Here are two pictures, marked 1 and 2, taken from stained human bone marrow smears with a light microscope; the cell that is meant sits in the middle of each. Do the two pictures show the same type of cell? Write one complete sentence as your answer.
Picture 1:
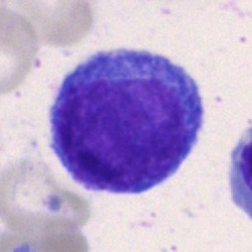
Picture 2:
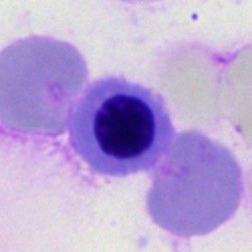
No, picture 1 shows a blast and picture 2 shows an erythroblast.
